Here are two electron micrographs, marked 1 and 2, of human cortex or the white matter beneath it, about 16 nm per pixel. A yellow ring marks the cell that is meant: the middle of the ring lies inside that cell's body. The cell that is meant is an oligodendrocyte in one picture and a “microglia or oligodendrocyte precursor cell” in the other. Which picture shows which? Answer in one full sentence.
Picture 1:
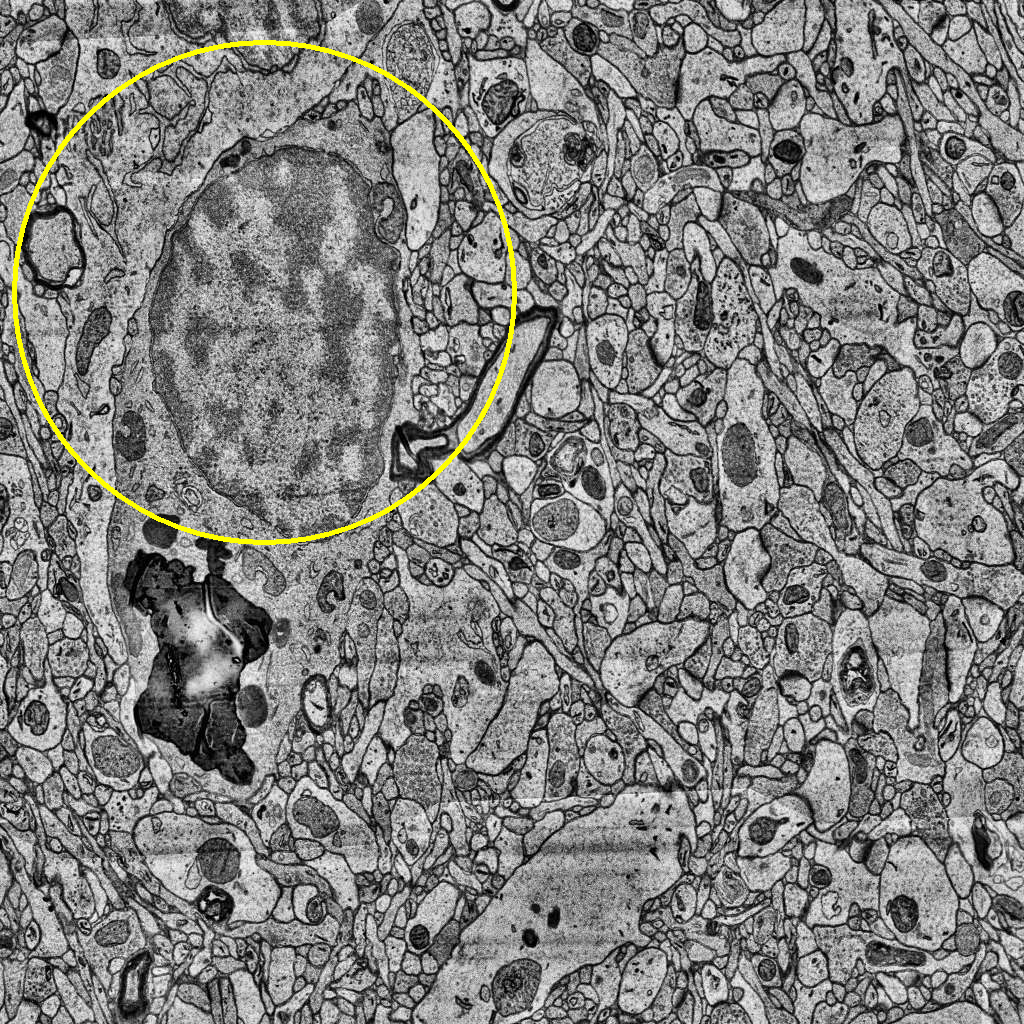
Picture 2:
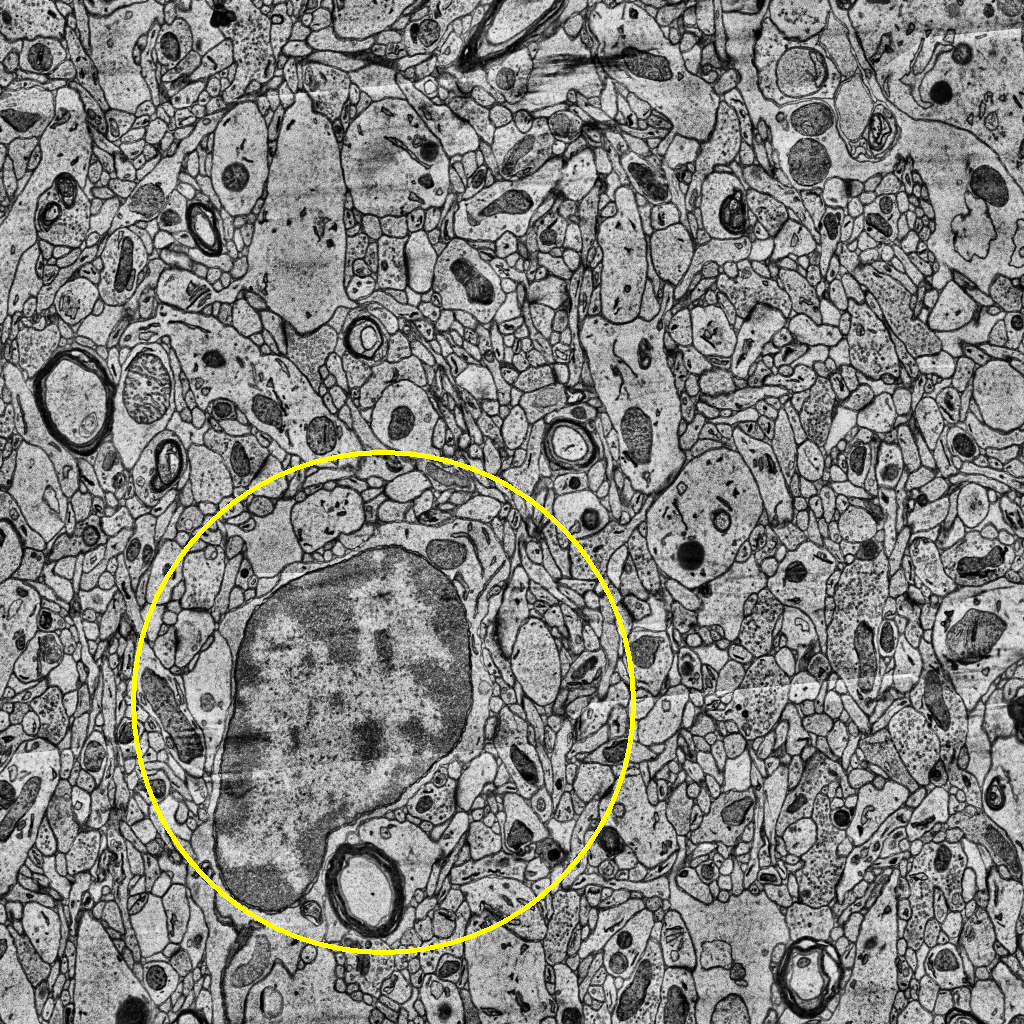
It is picture 1 that shows an oligodendrocyte, and picture 2 that shows a “microglia or oligodendrocyte precursor cell”.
